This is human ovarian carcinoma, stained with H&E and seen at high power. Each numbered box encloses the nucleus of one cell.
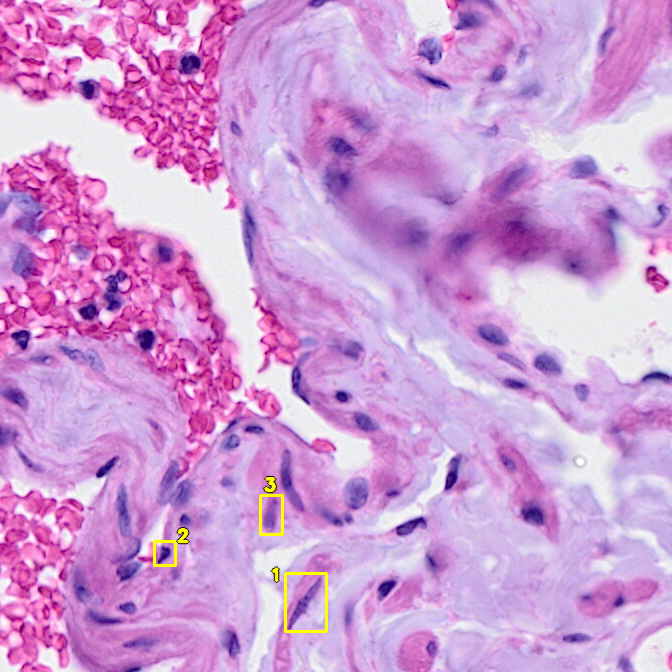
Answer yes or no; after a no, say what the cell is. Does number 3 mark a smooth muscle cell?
Yes.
